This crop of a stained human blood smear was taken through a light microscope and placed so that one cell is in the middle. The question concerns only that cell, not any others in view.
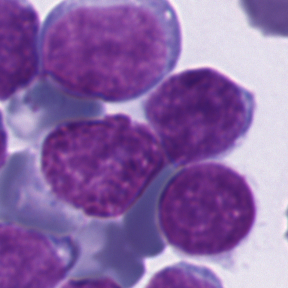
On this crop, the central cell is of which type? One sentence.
The middle of this crop is occupied by a myeloblast.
